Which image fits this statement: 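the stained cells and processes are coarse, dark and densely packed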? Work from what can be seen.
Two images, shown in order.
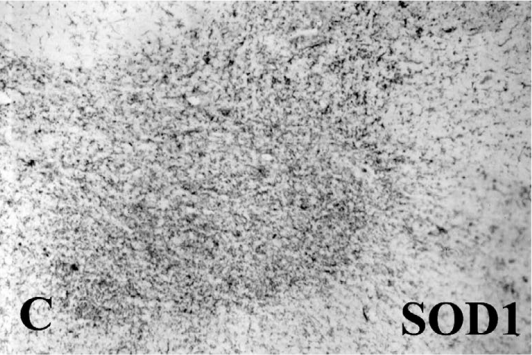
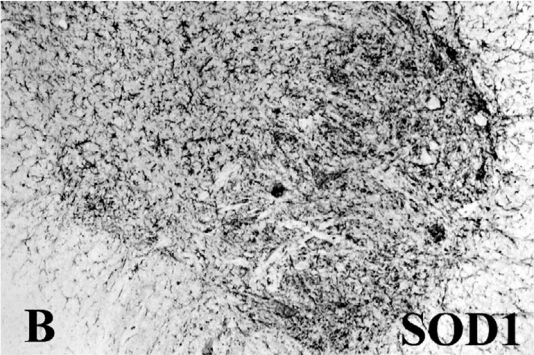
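Second image: a dark, dense meshwork of thick stained cells and processes filling the region. So: the second image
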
